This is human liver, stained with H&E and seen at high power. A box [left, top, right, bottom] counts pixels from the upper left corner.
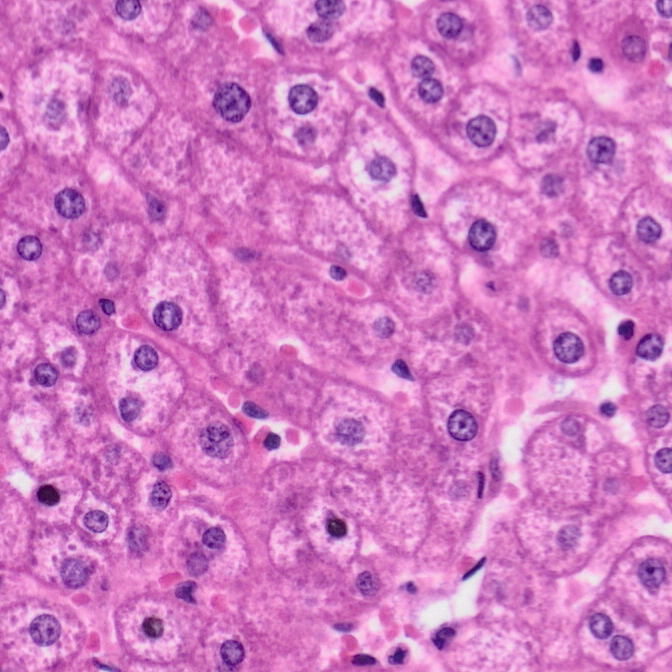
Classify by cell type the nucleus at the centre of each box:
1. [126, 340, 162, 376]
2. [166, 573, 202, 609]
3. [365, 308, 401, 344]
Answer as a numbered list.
1. hepatocyte
2. endothelial cell
3. hepatocyte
